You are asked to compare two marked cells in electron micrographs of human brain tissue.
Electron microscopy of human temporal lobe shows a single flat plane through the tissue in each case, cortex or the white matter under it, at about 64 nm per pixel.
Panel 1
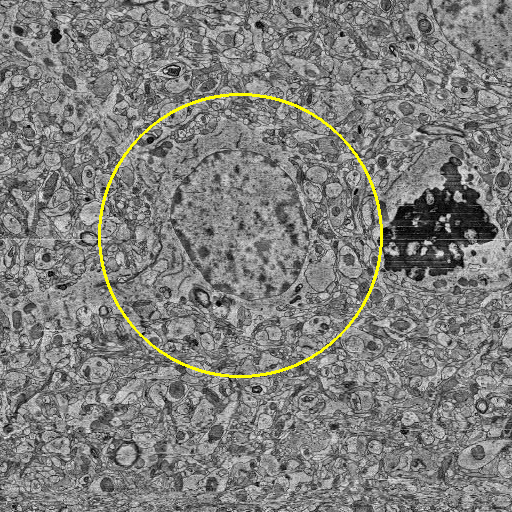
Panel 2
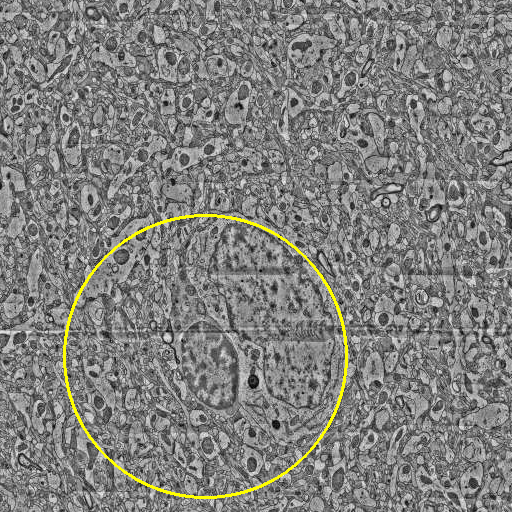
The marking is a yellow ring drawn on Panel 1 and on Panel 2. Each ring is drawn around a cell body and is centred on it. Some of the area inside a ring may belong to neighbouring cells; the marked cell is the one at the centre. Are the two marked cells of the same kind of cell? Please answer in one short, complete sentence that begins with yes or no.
No, the two marked cells are of two kinds.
